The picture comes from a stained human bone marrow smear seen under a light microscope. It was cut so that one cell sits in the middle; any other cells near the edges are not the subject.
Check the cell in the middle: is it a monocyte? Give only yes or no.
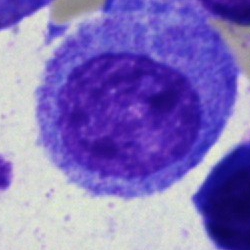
no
